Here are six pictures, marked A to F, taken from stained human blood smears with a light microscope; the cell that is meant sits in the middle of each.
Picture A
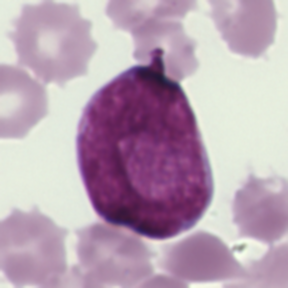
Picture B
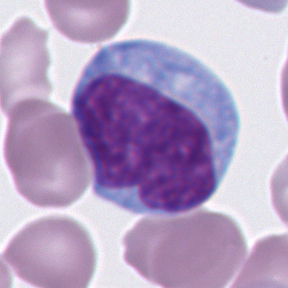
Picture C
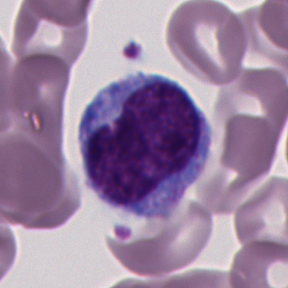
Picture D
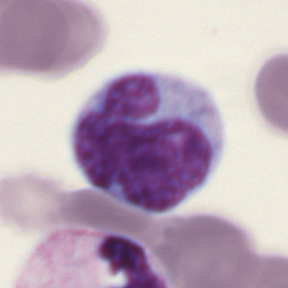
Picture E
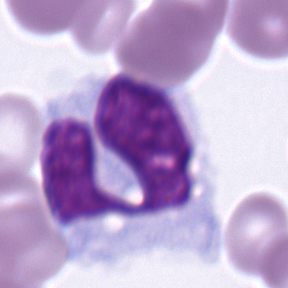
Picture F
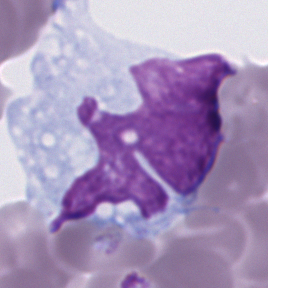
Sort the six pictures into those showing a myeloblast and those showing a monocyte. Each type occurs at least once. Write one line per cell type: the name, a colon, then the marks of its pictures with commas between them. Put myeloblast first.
myeloblast: A, B
monocyte: C, D, E, F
